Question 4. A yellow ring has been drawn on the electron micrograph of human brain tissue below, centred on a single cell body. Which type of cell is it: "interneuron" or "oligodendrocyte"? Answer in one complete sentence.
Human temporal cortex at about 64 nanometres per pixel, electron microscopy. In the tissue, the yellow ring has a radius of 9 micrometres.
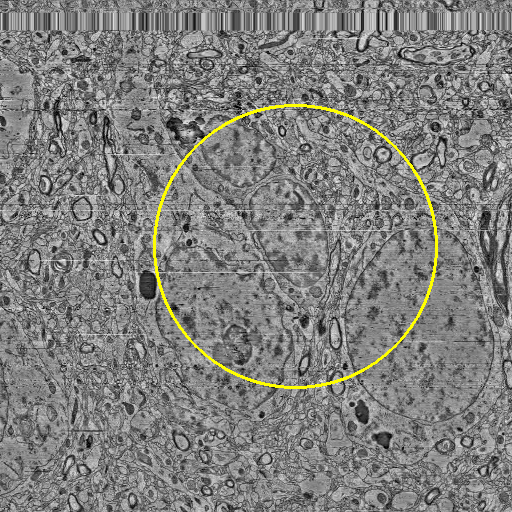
This cell body belongs to an oligodendrocyte.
